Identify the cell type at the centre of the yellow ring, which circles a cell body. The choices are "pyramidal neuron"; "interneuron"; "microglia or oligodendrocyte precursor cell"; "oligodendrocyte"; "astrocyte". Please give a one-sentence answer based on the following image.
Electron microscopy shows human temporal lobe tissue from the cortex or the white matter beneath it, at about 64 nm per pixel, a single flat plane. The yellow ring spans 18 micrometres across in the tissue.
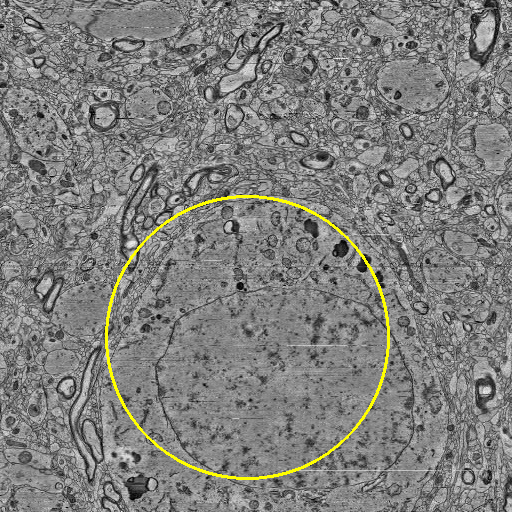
The cell marked by the ring is a pyramidal neuron.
